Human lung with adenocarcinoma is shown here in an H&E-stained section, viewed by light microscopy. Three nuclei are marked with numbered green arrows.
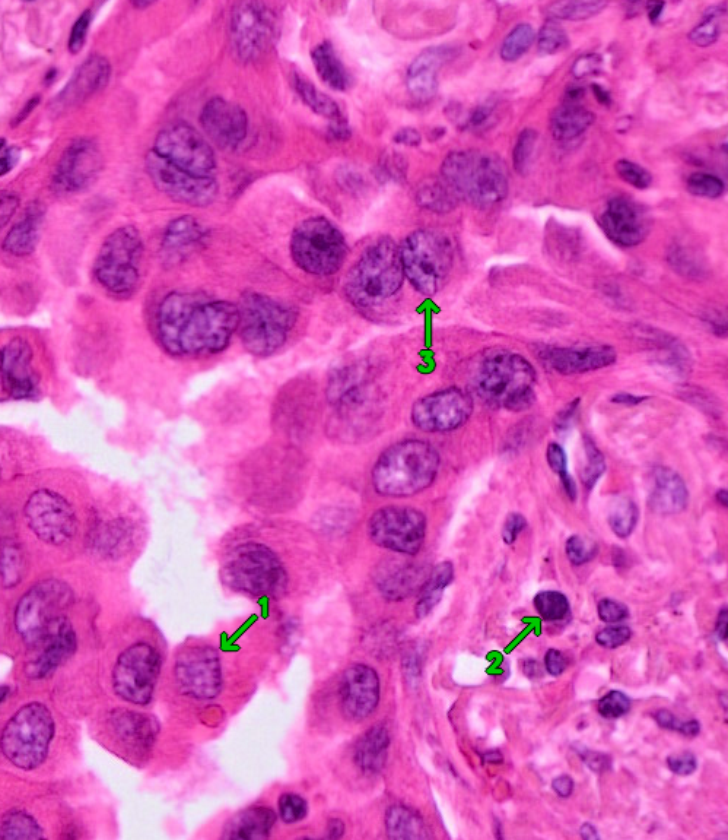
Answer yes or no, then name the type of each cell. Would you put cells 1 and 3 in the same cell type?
Yes, both are carcinoma cells.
